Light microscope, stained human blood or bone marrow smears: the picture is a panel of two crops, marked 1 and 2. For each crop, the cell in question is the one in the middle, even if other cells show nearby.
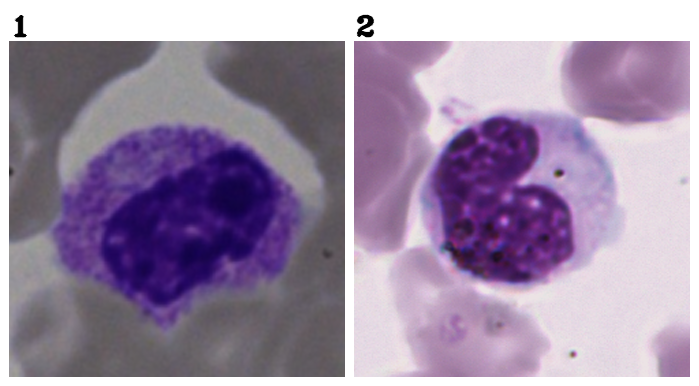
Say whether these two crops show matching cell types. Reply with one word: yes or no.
yes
